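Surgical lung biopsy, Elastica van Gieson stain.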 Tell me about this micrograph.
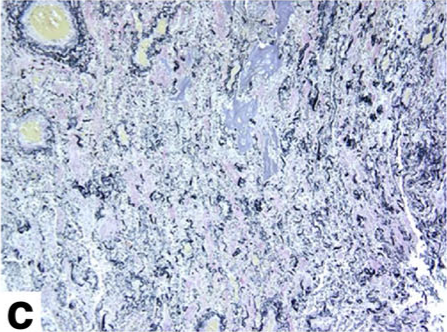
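The tissue is compact, with no open air spaces of normal alveoli. A pale pink-lavender fibrous background fills most of the field. Short, broken black strands and clumps are scattered through it, denser toward the right.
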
